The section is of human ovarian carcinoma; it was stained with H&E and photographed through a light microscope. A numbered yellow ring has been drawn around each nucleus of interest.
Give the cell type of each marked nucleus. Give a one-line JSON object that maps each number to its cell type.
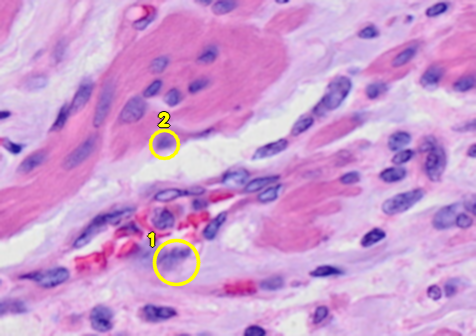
{"1": "endothelial cell", "2": "smooth muscle cell"}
